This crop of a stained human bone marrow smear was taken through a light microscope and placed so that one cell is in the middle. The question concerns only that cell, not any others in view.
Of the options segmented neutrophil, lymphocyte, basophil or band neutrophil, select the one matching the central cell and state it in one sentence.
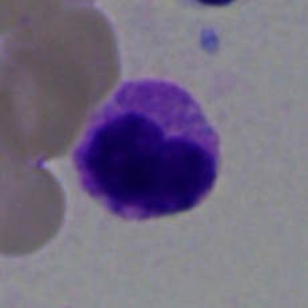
For this crop, the cell in the middle is a basophil.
